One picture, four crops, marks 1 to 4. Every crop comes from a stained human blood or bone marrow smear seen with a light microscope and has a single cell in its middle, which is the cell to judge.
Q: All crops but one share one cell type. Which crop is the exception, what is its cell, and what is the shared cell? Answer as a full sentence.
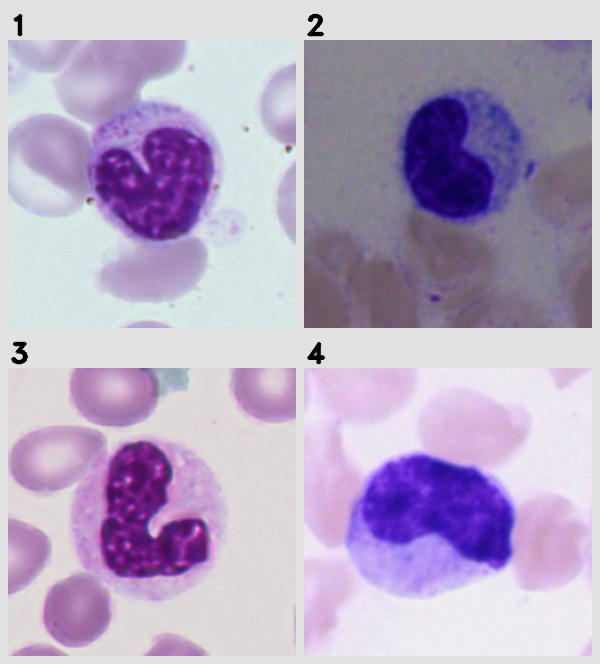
Crop 4, showing a metamyelocyte, is the exception; the others all show band neutrophils.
